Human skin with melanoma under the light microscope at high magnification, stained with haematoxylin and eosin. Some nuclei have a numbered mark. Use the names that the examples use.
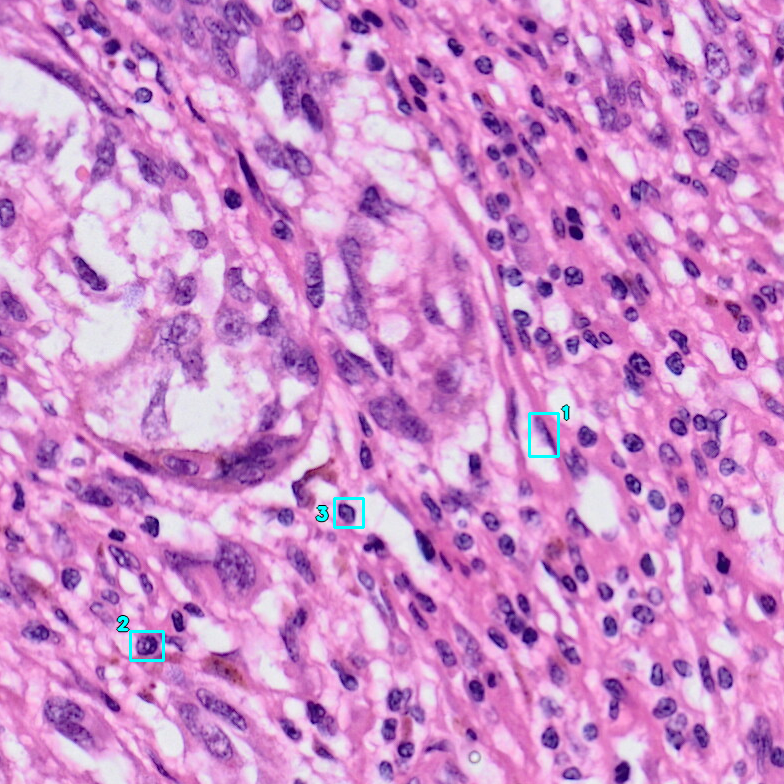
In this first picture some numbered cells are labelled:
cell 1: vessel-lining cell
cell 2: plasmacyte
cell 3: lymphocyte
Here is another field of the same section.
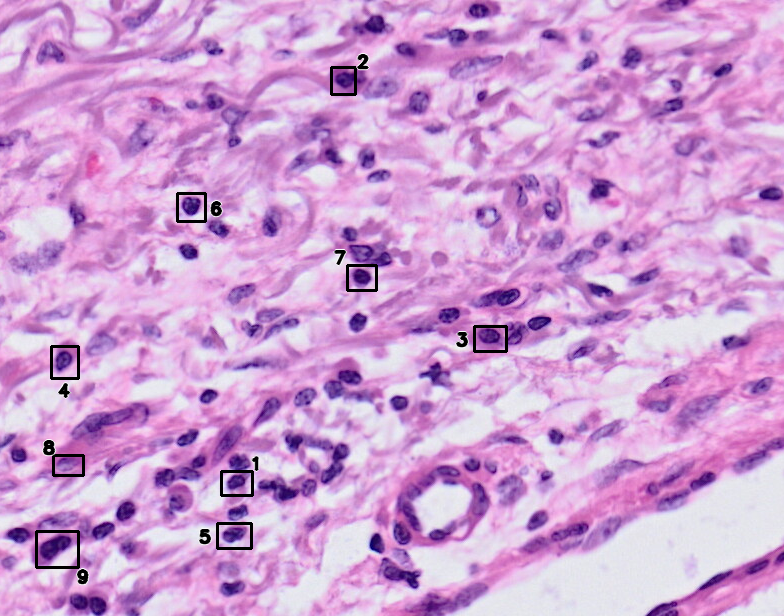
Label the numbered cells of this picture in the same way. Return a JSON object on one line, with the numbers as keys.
{"1": "lymphocyte", "2": "plasmacyte", "3": "plasmacyte", "4": "plasmacyte", "5": "lymphocyte", "6": "lymphocyte", "7": "plasmacyte", "8": "vessel-lining cell", "9": "plasmacyte"}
